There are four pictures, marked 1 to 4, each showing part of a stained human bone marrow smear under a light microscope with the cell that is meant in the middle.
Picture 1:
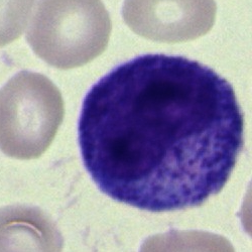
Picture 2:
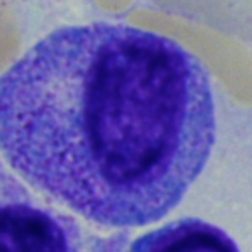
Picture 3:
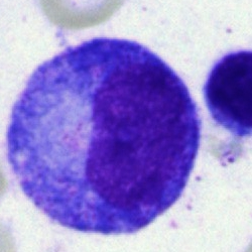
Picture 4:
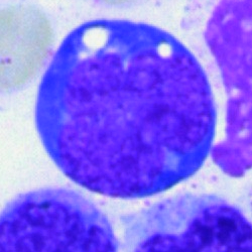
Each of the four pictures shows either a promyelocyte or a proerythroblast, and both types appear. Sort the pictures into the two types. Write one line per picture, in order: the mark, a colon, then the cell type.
1: promyelocyte
2: promyelocyte
3: promyelocyte
4: proerythroblast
